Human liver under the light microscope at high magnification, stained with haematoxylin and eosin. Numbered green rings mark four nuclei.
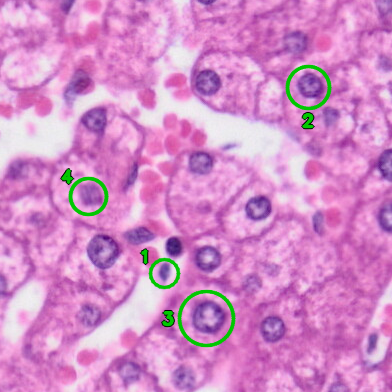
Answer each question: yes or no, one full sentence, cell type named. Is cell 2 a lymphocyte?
No, the cell marked 2 is a hepatocyte rather than a lymphocyte.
